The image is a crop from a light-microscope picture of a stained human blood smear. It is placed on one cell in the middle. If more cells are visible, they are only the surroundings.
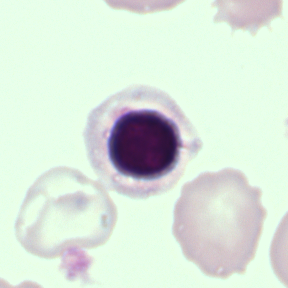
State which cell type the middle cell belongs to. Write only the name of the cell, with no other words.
erythroblast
